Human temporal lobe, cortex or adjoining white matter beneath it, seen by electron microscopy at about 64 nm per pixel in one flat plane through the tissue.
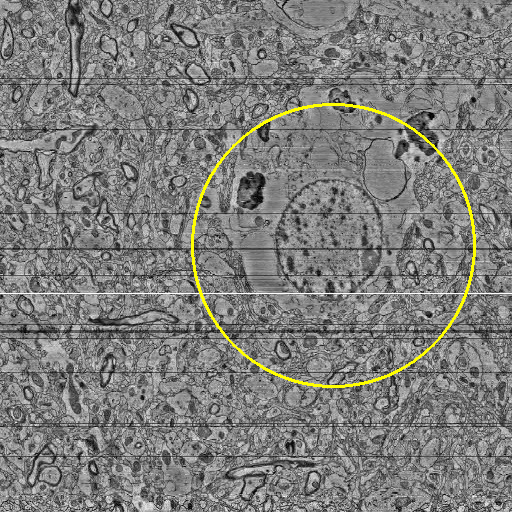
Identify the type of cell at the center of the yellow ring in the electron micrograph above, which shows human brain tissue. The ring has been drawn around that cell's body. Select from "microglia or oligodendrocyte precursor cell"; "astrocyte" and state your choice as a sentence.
The yellow ring is centered on the body of an astrocyte.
